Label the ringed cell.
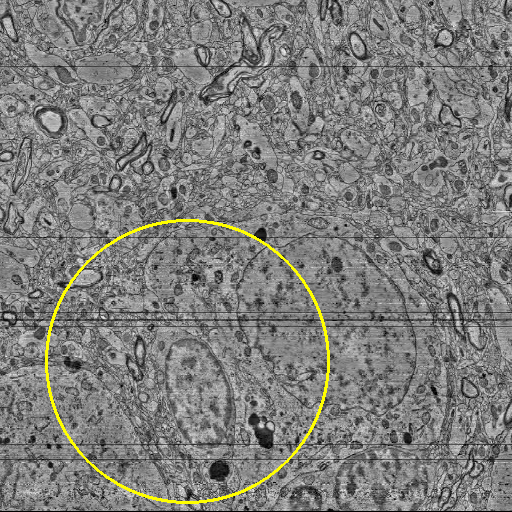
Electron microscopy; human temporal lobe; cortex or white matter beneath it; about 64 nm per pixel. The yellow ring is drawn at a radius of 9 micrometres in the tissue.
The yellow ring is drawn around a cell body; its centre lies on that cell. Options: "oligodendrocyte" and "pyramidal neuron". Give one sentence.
The ringed cell is an oligodendrocyte.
